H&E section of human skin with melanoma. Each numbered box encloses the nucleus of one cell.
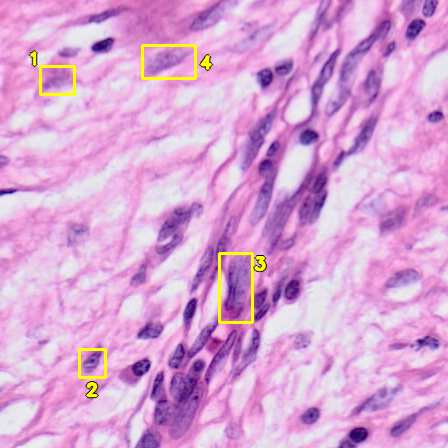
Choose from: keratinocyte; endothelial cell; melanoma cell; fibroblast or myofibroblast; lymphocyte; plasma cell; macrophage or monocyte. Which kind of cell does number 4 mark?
fibroblast or myofibroblast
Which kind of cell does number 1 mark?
fibroblast or myofibroblast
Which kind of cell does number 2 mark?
macrophage or monocyte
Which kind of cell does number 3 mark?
endothelial cell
